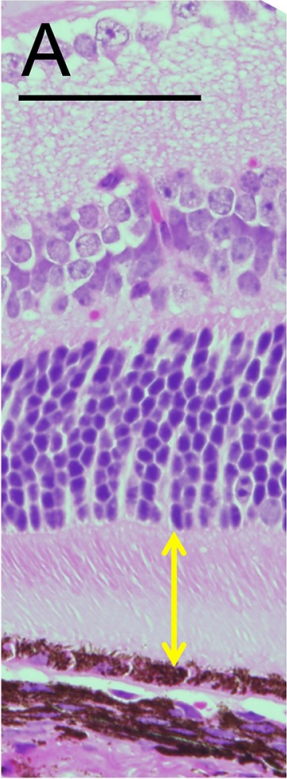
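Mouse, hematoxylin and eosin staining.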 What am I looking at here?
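The section shows a pale pink fibrous zone at the top, a band of larger rounded nuclei with visible chromatin, and a thick band of small dark purple nuclei packed in vertical columns. Under these nuclei a pale pink, finely streaked band, marked by the yellow double arrow, reaches down to a dark brown pigmented row with choroid-like tissue below. The streaked band is the photoreceptor inner and outer segment layer.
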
